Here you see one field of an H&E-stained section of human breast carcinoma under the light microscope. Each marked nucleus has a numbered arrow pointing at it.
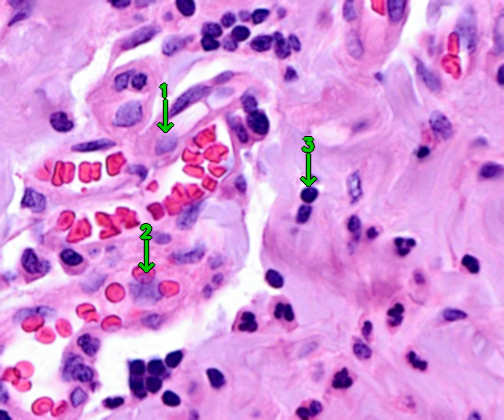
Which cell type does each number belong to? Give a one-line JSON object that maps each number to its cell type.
{"1": "endothelial cell", "2": "endothelial cell", "3": "lymphocyte"}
